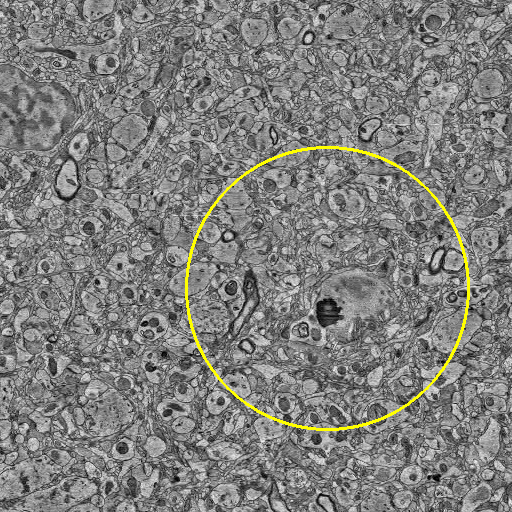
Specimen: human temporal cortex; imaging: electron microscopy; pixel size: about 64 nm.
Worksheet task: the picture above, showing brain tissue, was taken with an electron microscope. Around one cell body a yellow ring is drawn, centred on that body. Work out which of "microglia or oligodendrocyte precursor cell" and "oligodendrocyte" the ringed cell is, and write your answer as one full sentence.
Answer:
It is an oligodendrocyte whose cell body lies at the centre of the yellow ring.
